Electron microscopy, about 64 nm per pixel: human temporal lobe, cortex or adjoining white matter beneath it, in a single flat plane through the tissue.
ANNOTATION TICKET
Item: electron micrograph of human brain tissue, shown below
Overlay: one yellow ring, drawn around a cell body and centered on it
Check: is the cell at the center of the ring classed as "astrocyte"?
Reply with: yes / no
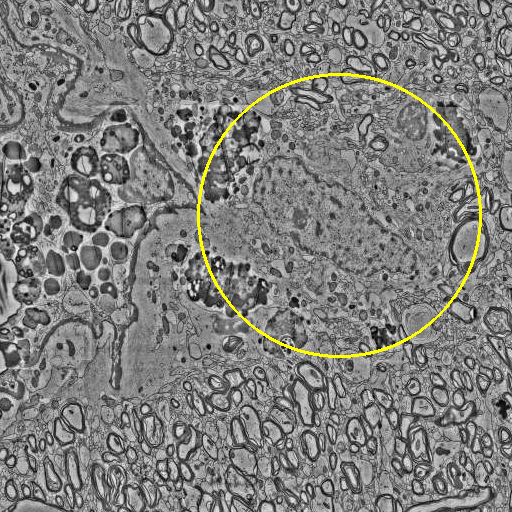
yes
